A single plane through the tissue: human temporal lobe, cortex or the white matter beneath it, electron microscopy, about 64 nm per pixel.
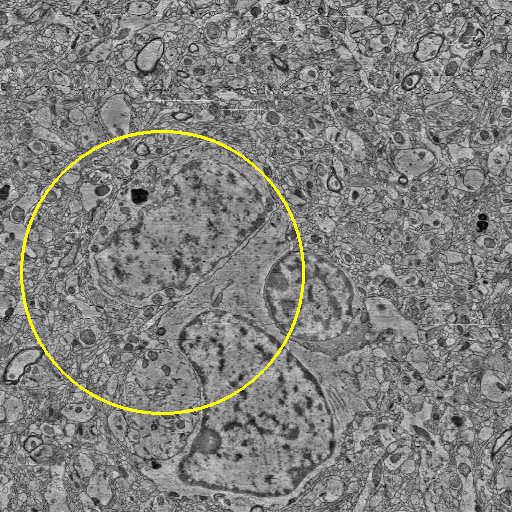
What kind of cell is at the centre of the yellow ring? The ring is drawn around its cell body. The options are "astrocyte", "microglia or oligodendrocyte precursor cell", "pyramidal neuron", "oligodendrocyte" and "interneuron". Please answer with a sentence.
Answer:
The yellow ring marks the cell body of an interneuron.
